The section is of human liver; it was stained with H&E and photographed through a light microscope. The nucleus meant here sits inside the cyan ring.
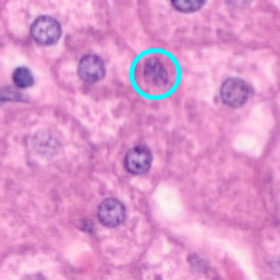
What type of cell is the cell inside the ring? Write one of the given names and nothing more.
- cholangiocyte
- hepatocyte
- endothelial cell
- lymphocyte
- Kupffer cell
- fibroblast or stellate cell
fibroblast or stellate cell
